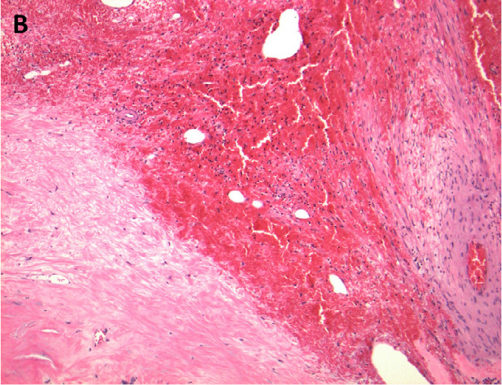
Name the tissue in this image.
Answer: Fibrovascular tissue.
